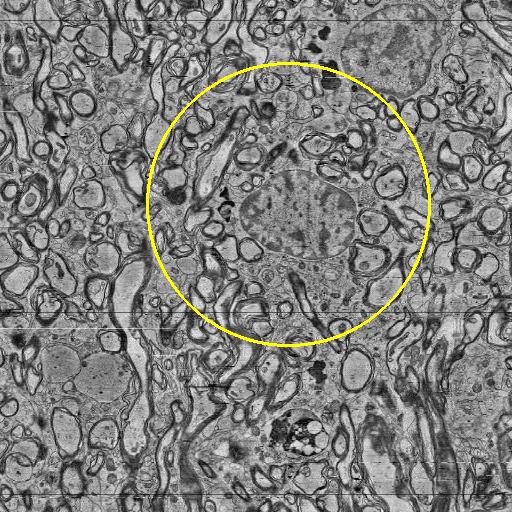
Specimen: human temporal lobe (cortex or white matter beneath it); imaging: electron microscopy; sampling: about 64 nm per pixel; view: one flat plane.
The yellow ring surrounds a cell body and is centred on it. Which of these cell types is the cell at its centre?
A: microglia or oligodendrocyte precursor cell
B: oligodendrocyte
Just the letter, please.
A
